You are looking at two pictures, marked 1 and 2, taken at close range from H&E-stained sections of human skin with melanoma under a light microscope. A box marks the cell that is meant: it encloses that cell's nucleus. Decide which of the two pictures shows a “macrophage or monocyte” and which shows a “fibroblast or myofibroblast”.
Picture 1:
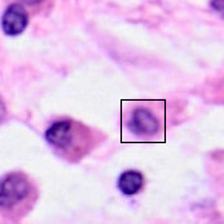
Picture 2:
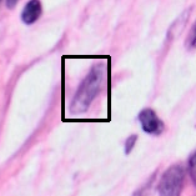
1: macrophage or monocyte
2: fibroblast or myofibroblast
